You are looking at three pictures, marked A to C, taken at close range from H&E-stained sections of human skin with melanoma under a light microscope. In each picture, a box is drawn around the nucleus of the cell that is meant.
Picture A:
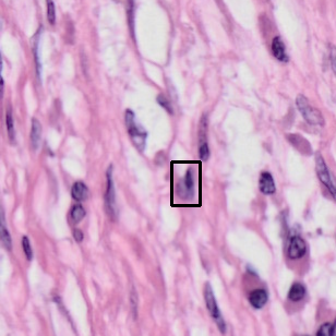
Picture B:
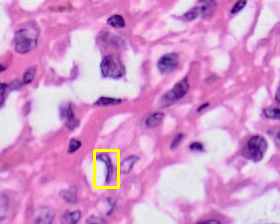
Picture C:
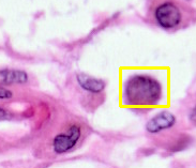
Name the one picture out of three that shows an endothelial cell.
B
